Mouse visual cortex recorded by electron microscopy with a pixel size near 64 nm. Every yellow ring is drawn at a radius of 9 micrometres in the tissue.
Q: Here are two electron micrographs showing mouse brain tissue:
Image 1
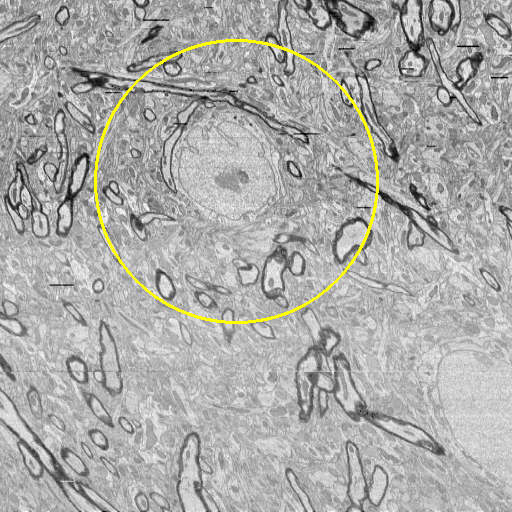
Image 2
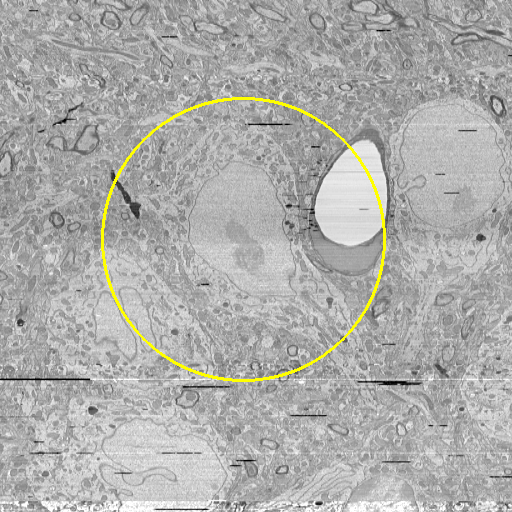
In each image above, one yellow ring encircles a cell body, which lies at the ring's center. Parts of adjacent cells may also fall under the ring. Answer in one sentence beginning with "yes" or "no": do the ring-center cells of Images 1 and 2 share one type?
Yes, in Images 1 and 2, the ring-center cells are both of one type.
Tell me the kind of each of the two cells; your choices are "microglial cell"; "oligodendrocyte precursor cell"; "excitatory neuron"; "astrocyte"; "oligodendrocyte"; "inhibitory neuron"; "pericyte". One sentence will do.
Both pictures show an inhibitory neuron at the centre of the ring.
